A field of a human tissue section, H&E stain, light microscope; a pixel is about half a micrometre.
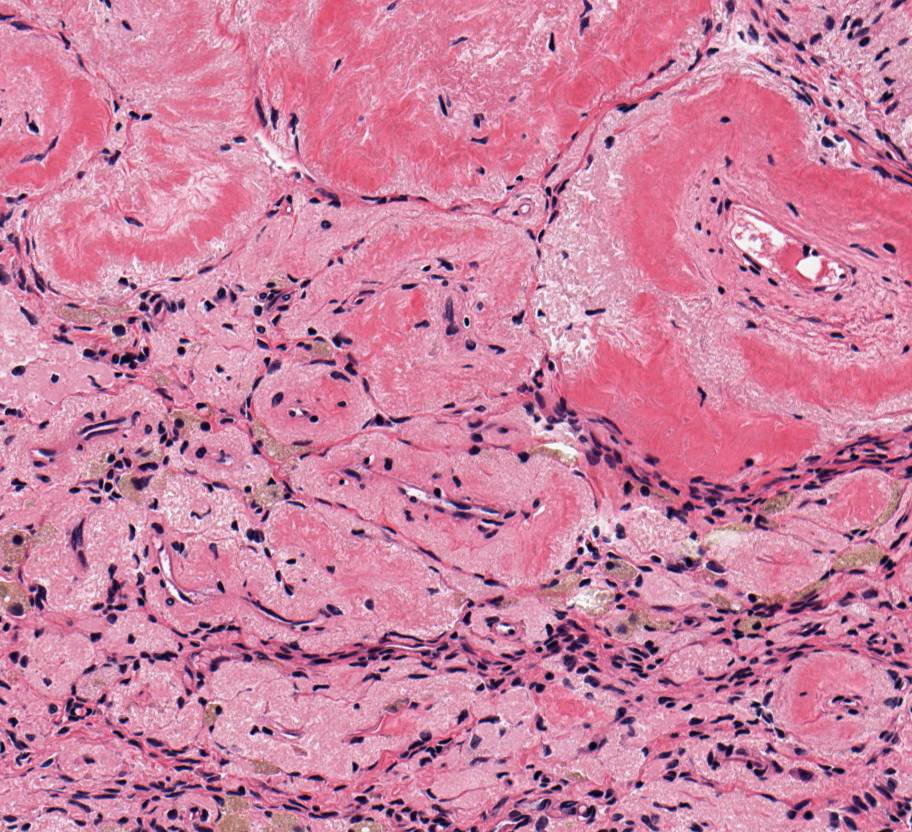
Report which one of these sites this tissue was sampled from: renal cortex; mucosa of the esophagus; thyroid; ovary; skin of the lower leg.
ovary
